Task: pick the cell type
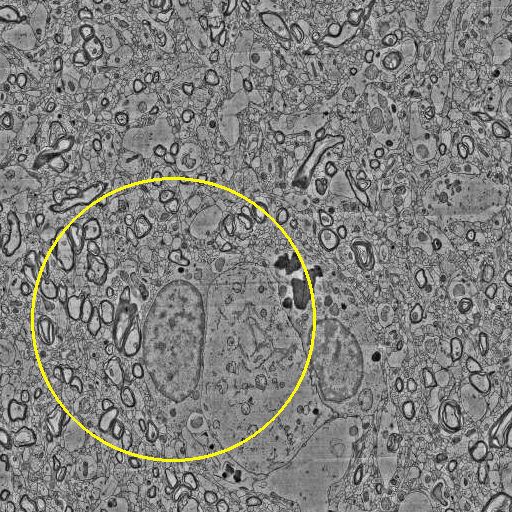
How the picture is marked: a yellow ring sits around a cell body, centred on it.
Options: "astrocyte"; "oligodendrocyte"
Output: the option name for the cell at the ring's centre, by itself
oligodendrocyte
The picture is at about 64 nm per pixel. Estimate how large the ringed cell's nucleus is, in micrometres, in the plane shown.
Approximately 8 micrometres long and 4 micrometres wide, so clearly longer than it is wide in this plane.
